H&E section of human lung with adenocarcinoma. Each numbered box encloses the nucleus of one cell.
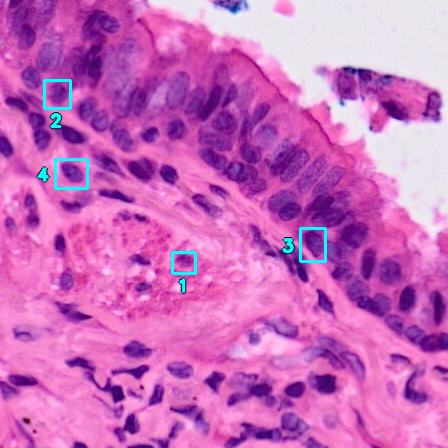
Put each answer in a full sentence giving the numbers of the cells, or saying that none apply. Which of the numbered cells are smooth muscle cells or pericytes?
The sole numbered cell that is a smooth muscle cell or pericyte is cell 1.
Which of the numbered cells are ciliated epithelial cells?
The cells numbered 2 and 3 fall into the category of ciliated epithelial cells.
